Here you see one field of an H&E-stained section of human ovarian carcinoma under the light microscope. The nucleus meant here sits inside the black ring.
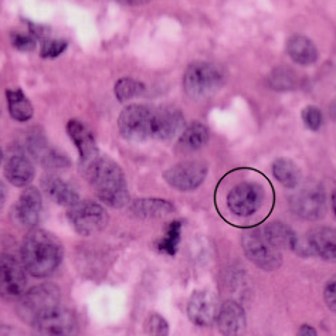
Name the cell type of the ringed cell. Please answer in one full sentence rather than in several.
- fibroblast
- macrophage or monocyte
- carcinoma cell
Histopathologically, the ringed cell is a macrophage or monocyte.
